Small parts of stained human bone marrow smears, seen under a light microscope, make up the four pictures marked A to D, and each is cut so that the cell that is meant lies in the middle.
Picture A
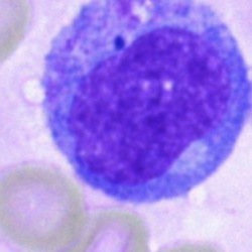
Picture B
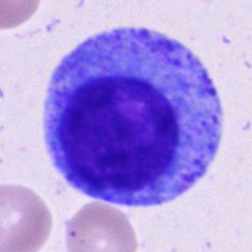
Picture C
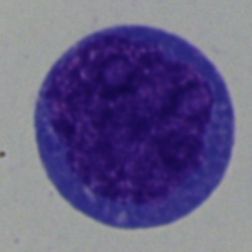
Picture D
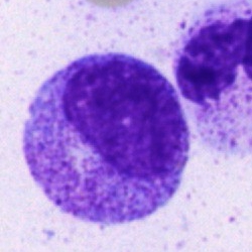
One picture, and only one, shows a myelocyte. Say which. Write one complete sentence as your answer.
It is picture D that shows the myelocyte.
